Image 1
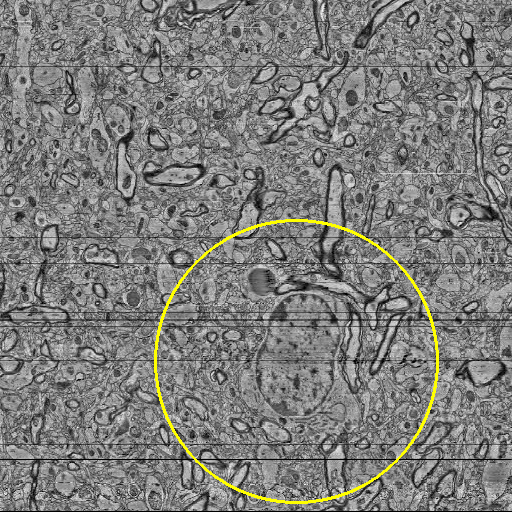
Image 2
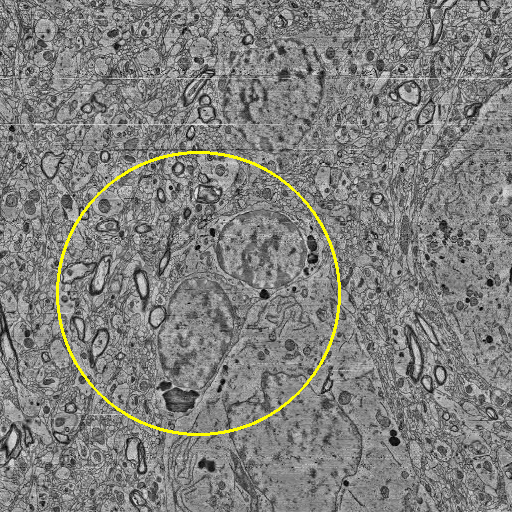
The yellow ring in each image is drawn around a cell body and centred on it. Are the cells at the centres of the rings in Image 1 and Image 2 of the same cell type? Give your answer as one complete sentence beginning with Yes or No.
No, the two cells are of two separate types.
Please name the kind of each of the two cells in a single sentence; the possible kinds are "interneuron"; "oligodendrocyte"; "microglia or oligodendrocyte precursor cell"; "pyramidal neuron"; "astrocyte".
In the first picture the ring is centred on a microglial cell or oligodendrocyte precursor cell, and in the second on an oligodendrocyte.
